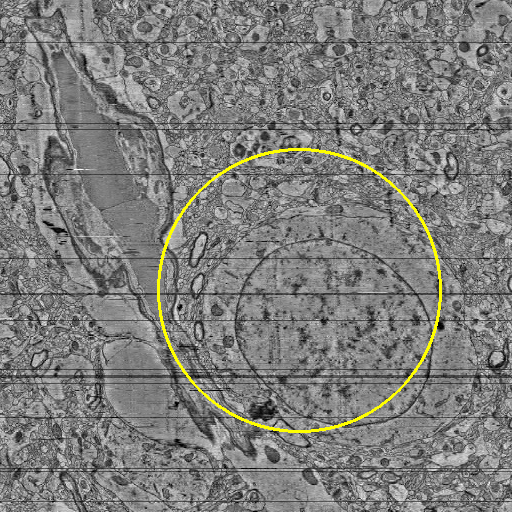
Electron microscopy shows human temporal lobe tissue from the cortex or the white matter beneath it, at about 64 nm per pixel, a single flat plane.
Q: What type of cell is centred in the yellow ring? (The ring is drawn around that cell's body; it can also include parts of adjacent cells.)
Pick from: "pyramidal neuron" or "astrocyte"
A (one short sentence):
The yellow ring is centred on a pyramidal neuron.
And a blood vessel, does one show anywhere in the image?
Yes, one appears.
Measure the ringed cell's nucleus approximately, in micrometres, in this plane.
Roughly 14 by 11 micrometres is the size of the nucleus in this plane.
